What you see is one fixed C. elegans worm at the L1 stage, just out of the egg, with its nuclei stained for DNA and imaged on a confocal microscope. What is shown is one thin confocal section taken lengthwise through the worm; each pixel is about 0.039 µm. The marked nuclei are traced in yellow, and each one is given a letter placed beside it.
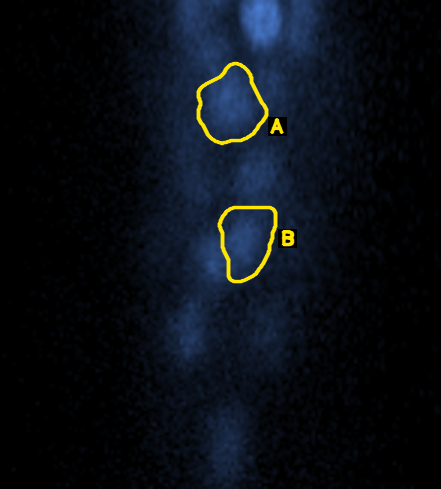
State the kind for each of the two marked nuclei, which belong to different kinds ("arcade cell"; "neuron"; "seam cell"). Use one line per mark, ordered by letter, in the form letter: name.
A: seam cell
B: arcade cell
